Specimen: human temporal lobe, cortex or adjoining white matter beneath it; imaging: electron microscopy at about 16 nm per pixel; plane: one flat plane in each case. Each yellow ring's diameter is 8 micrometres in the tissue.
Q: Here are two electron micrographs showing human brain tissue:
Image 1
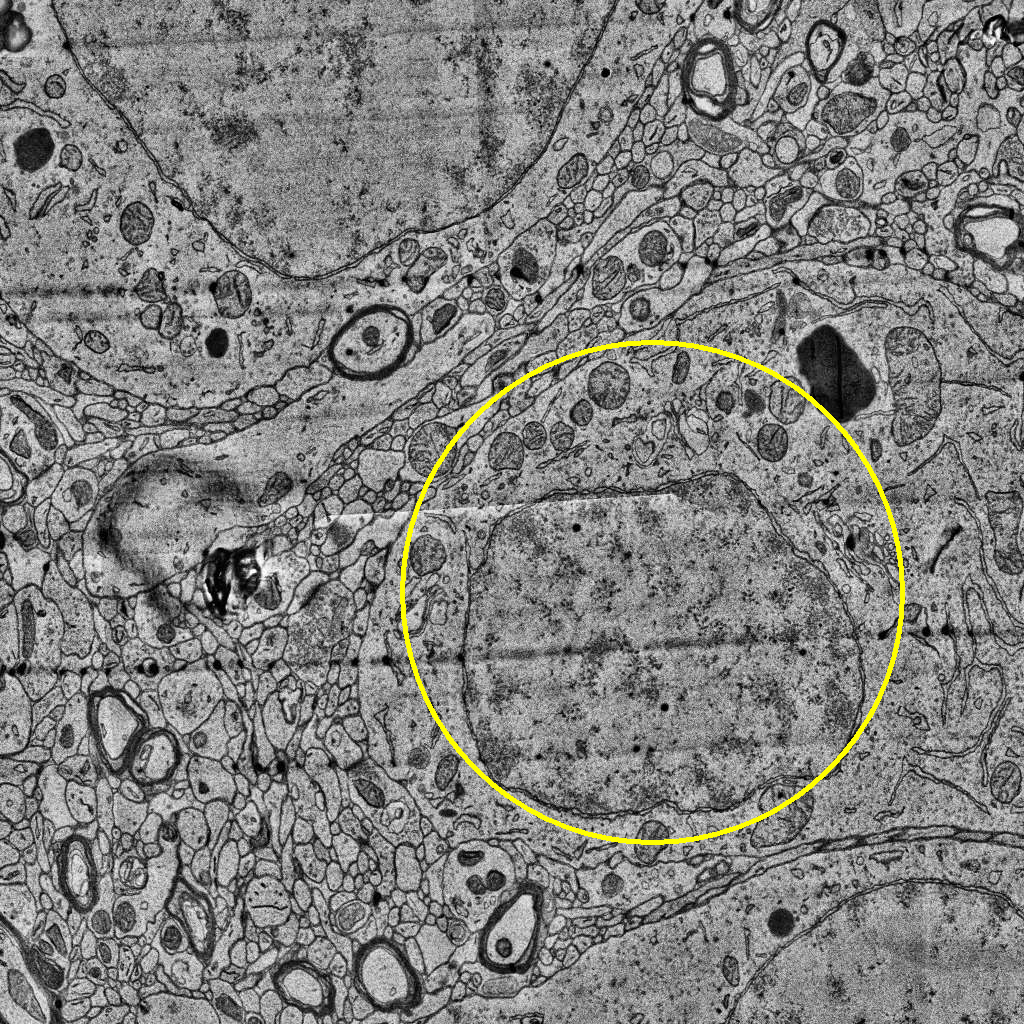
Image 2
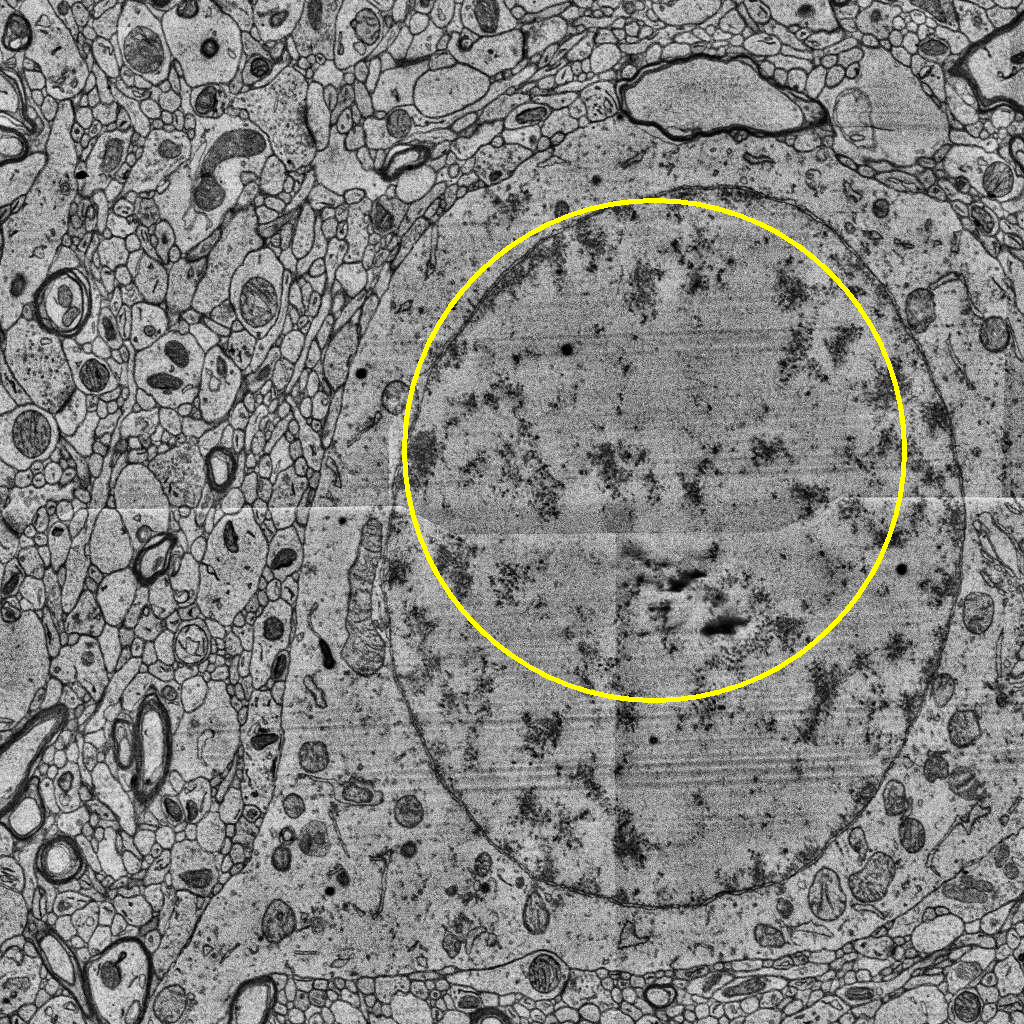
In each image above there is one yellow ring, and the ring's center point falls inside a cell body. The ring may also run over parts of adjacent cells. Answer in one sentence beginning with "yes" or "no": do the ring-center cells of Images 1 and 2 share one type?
No, in Images 1 and 2, the ring-center cells are of two types.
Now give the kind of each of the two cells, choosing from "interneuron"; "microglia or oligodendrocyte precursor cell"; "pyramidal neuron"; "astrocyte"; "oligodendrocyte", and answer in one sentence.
The first ring marks an interneuron, and the second ring marks a pyramidal neuron.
